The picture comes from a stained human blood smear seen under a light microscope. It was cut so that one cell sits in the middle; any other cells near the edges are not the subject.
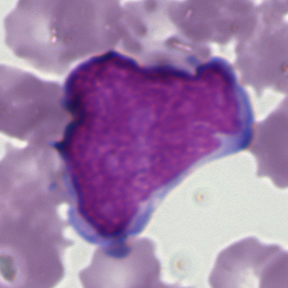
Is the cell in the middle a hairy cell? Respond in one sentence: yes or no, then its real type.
No, the cell placed at the center is a myeloblast rather than a hairy cell.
